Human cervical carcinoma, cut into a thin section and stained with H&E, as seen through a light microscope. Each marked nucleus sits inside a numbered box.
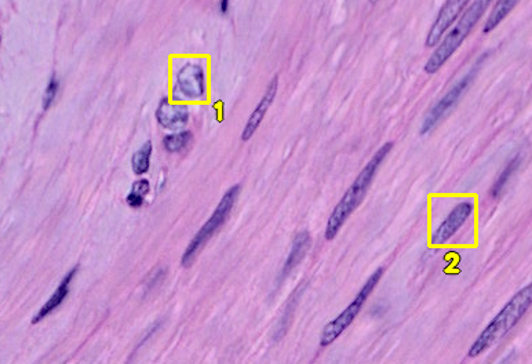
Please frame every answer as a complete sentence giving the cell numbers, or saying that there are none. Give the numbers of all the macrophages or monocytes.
Not one numbered cell here is one of the macrophages or monocytes.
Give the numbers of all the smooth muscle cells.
In this set of numbered cells, only cell 2 is a smooth muscle cell.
